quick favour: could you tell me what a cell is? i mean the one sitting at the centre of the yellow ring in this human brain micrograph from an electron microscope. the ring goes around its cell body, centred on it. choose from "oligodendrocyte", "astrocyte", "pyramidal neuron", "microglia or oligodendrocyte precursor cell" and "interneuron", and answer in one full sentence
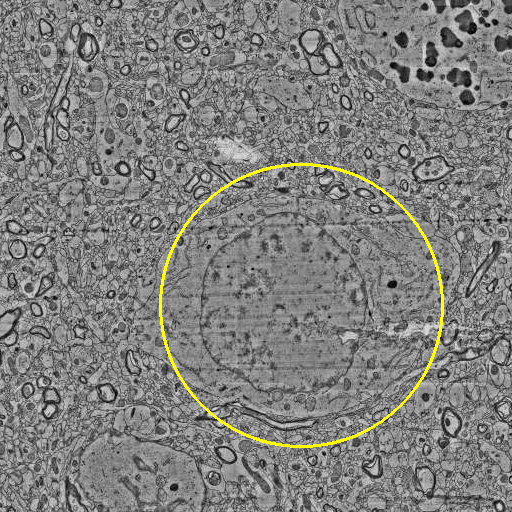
That's an interneuron, the cell sitting at the centre of the yellow ring.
